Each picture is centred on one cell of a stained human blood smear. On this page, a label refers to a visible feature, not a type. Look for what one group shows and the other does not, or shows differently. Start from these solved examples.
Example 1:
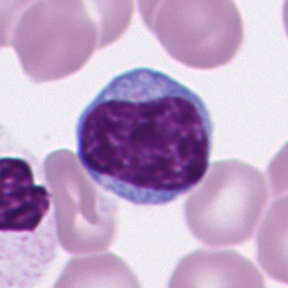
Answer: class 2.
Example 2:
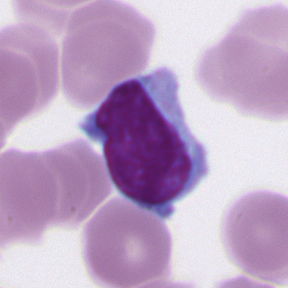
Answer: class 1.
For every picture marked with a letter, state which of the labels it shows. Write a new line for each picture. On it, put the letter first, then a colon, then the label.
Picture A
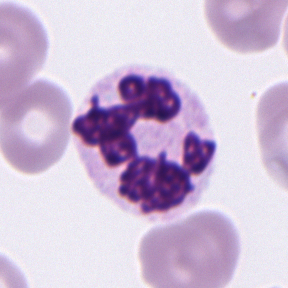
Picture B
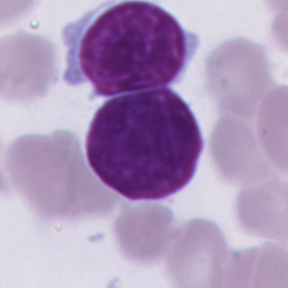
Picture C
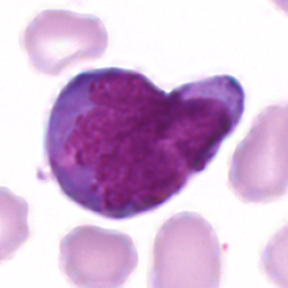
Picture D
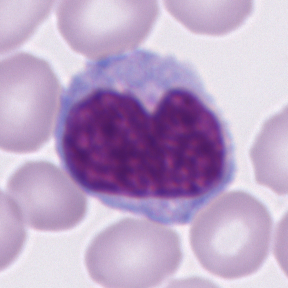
A: class 2.
B: class 2.
C: class 1.
D: class 1.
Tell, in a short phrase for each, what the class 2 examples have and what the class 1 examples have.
class 2, smooth outline; class 1, ragged outline or projections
